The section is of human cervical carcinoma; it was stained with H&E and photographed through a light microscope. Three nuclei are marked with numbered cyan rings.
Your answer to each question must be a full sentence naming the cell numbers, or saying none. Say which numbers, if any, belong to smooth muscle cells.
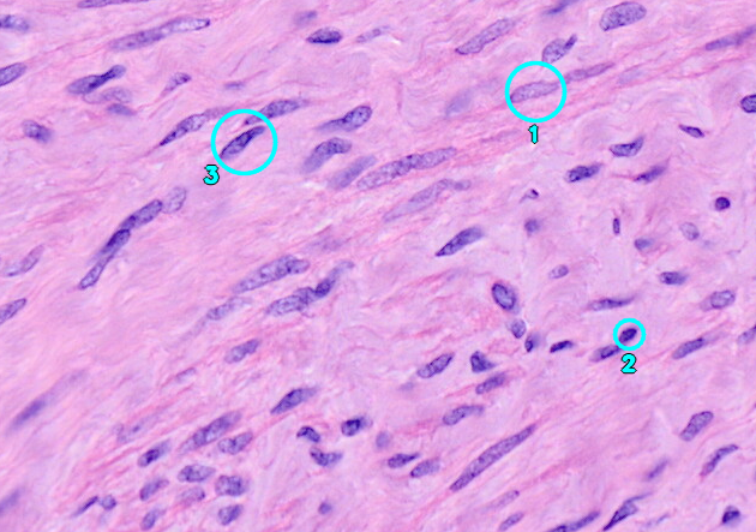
Only the cell numbered 1 qualifies as a smooth muscle cell among the marked cells.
